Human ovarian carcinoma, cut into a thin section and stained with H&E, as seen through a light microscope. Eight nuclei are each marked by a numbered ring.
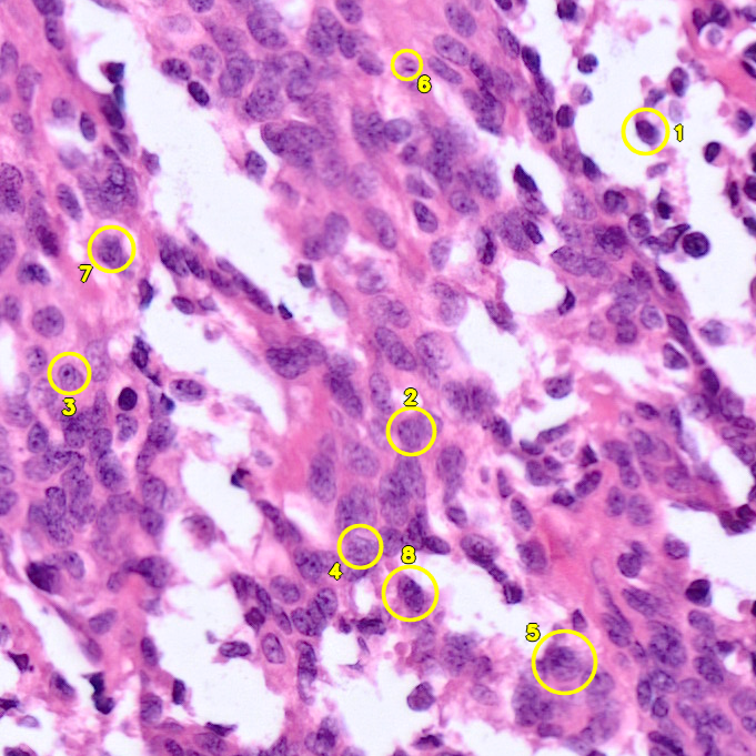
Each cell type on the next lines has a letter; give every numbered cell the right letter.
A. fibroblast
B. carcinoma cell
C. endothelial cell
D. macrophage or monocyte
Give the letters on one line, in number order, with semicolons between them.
B; B; D; B; B; C; D; B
